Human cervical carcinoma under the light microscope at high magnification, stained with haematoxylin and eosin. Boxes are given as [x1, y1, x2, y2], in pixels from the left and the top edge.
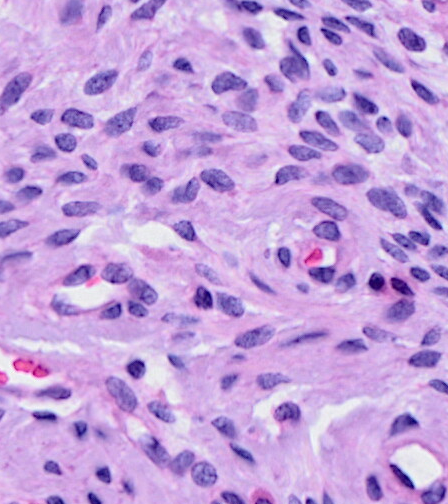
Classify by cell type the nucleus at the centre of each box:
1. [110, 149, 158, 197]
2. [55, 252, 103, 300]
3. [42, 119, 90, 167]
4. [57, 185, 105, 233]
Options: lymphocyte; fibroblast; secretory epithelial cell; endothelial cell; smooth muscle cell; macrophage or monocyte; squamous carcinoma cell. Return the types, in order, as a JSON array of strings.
["fibroblast", "endothelial cell", "fibroblast", "fibroblast"]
